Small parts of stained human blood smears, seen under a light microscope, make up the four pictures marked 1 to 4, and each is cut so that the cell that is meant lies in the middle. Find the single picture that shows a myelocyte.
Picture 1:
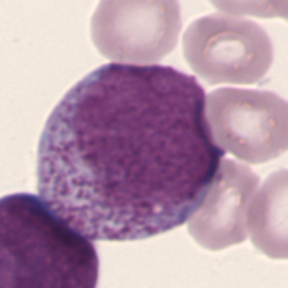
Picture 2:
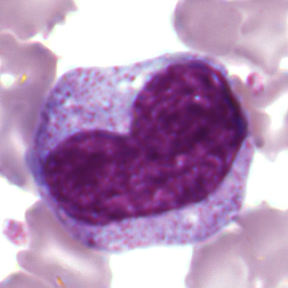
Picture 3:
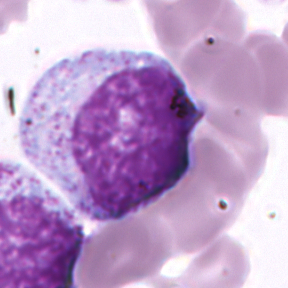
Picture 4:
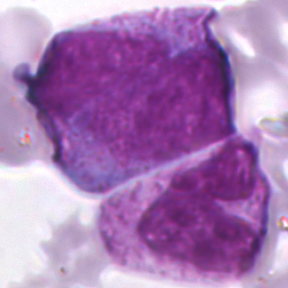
3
